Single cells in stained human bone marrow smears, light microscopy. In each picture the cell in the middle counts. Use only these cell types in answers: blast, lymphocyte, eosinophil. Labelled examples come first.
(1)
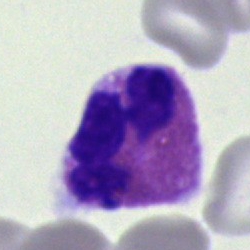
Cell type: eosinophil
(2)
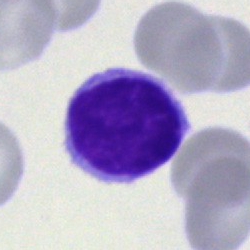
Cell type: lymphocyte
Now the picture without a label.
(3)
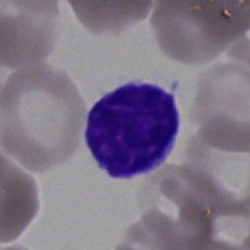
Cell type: lymphocyte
